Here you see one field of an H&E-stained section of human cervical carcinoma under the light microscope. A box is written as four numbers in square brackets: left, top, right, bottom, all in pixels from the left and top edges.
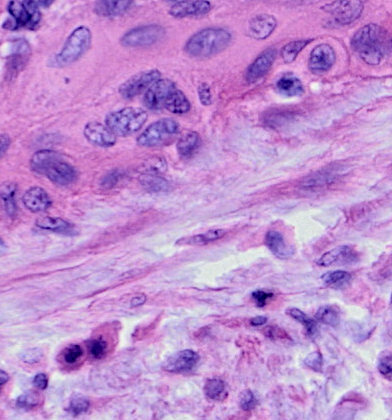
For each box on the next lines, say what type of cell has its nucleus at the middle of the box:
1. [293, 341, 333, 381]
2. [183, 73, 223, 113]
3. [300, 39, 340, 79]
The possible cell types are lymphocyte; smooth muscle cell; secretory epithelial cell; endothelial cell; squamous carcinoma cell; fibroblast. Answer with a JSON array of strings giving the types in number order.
["fibroblast", "squamous carcinoma cell", "squamous carcinoma cell"]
